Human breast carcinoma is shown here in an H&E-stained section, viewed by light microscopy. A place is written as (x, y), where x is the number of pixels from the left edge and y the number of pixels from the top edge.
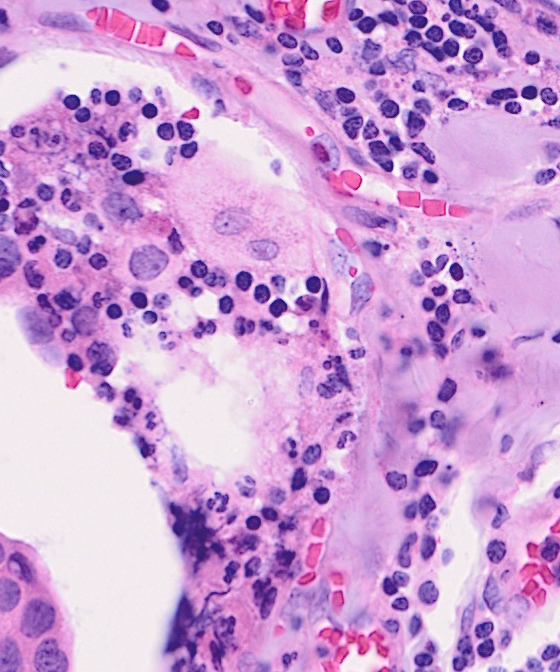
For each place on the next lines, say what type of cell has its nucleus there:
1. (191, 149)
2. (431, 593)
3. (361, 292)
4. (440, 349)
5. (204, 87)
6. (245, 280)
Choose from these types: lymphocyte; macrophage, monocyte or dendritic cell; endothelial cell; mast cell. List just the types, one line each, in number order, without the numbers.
lymphocyte
lymphocyte
endothelial cell
lymphocyte
endothelial cell
lymphocyte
